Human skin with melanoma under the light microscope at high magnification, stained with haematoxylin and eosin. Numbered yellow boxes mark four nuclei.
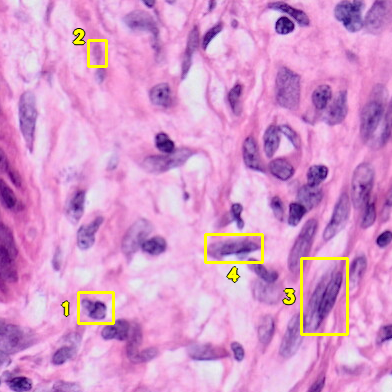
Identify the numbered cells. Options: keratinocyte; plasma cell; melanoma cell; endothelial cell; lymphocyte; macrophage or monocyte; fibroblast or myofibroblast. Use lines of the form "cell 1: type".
cell 1: lymphocyte
cell 2: fibroblast or myofibroblast
cell 3: endothelial cell
cell 4: fibroblast or myofibroblast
